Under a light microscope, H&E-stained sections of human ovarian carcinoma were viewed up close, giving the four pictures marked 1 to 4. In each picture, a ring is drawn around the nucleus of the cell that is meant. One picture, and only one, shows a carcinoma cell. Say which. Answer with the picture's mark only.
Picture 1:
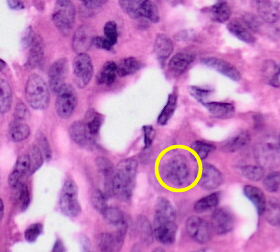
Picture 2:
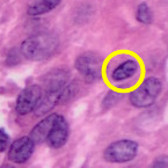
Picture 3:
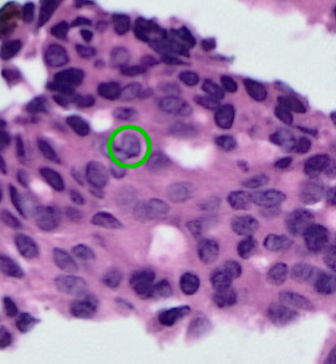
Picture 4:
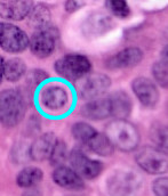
1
